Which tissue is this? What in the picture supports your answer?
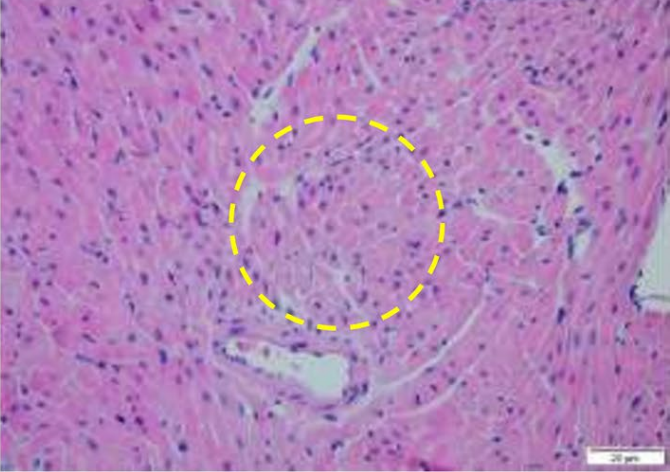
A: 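Densely packed pink muscle cells fill the field. Small vessels with thin walls run between the muscle cells. So: myocardium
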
